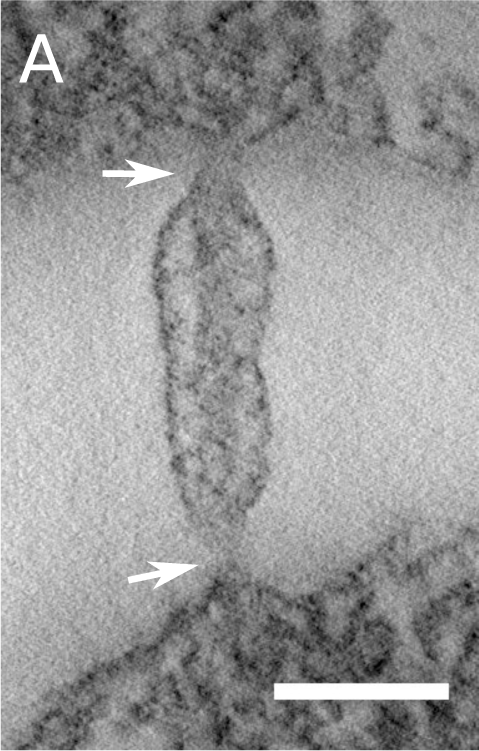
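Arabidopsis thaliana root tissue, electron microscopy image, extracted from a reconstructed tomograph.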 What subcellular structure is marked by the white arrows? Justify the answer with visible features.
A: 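An elongated membrane-bound channel crosses a pale, even band between two darker granular regions. At each end, where the arrows point, the channel narrows sharply to a thin constriction. The middle part of the channel is wider than its two ends.
Hence: neck regions.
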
